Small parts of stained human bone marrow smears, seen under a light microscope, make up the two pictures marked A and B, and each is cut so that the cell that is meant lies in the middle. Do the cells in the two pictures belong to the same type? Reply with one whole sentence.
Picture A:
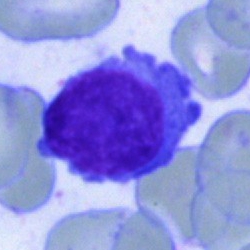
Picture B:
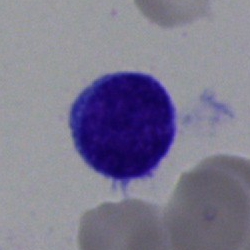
No, they differ: the cell is a plasma cell in picture A and a lymphocyte in picture B.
